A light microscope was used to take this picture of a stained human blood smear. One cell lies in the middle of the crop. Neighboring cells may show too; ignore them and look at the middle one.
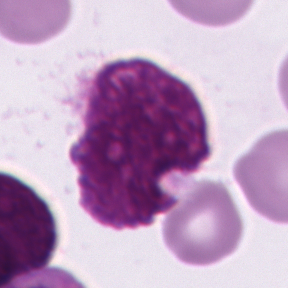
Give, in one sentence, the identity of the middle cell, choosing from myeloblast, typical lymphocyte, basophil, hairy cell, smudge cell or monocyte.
The center cell of this crop is a smudge cell.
